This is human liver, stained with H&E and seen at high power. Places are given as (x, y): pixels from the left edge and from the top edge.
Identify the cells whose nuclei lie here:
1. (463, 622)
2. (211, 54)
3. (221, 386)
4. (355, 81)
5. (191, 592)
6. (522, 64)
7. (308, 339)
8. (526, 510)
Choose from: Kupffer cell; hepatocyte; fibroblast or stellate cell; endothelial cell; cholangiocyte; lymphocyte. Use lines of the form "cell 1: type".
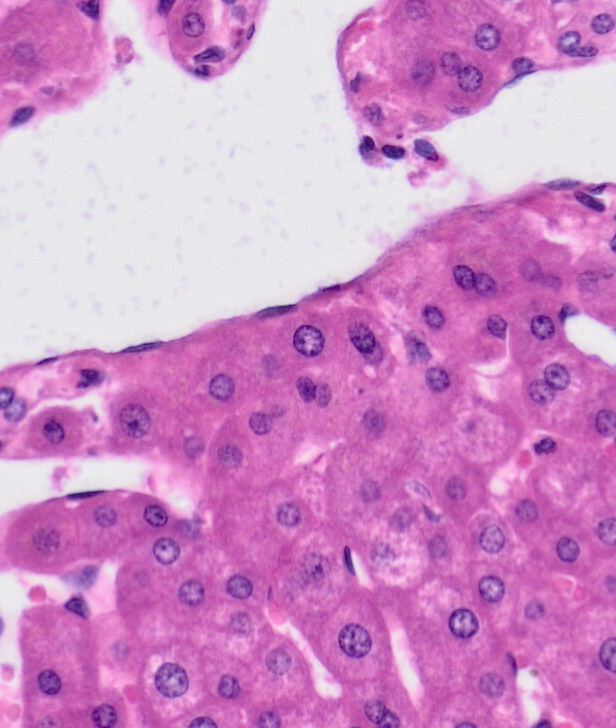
cell 1: hepatocyte
cell 2: fibroblast or stellate cell
cell 3: hepatocyte
cell 4: fibroblast or stellate cell
cell 5: hepatocyte
cell 6: fibroblast or stellate cell
cell 7: hepatocyte
cell 8: hepatocyte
